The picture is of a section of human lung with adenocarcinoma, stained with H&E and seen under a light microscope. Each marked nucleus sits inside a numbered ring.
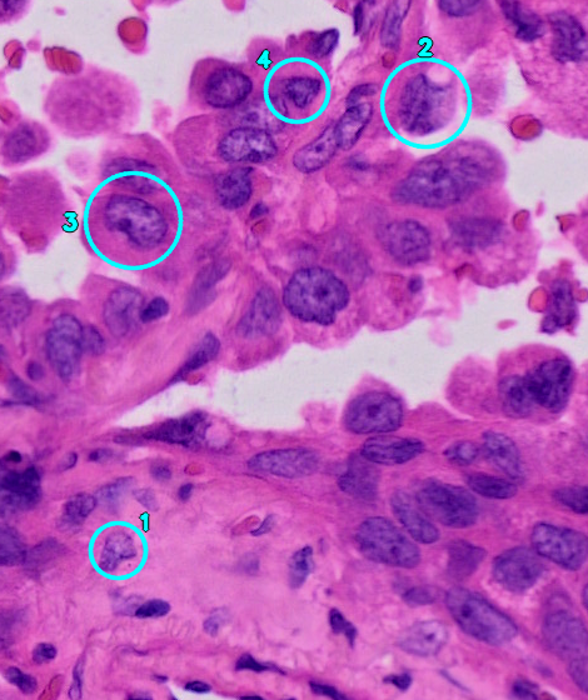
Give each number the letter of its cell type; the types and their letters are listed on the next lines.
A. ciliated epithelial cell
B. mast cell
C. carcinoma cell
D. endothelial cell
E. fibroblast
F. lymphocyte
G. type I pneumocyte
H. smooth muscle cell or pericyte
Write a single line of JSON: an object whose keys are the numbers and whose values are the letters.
{"1": "E", "2": "C", "3": "C", "4": "C"}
